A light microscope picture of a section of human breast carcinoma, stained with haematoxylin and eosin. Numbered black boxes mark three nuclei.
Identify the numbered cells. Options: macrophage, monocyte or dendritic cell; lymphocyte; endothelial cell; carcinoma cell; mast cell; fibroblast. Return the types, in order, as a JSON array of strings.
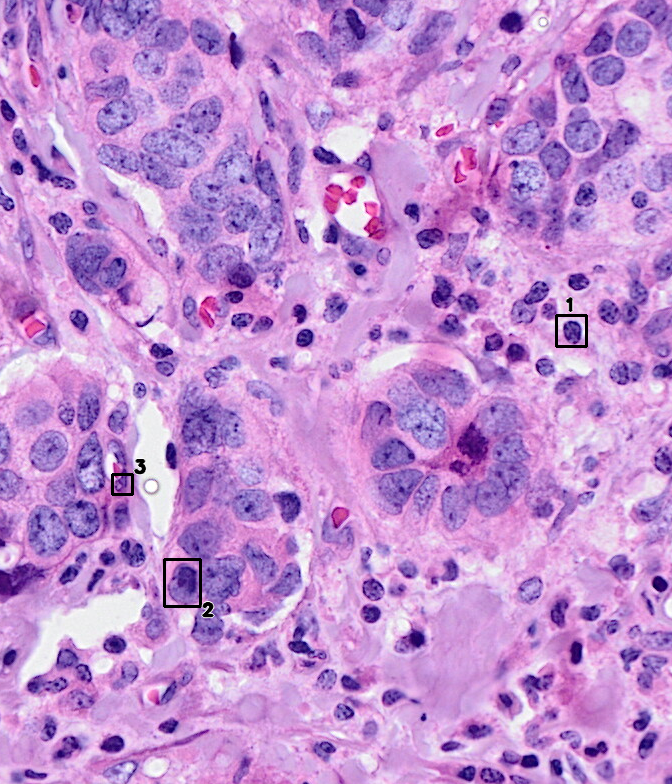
["lymphocyte", "carcinoma cell", "endothelial cell"]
